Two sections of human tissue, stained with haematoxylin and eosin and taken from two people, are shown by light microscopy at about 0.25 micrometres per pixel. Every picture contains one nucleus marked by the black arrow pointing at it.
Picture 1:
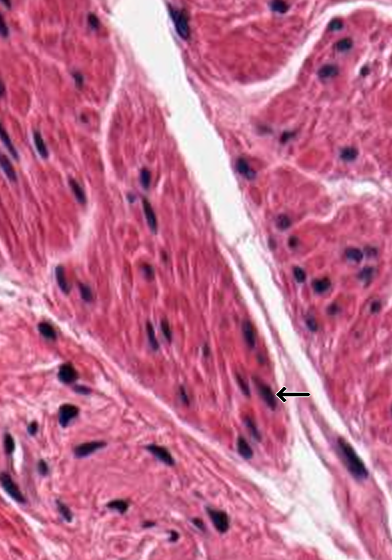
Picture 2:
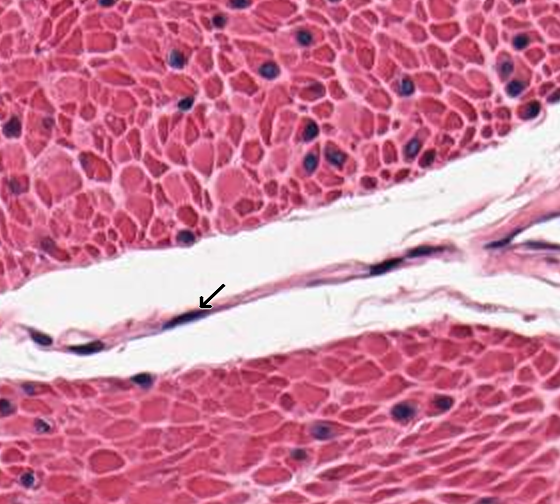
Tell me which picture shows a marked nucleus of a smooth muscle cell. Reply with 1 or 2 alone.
1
